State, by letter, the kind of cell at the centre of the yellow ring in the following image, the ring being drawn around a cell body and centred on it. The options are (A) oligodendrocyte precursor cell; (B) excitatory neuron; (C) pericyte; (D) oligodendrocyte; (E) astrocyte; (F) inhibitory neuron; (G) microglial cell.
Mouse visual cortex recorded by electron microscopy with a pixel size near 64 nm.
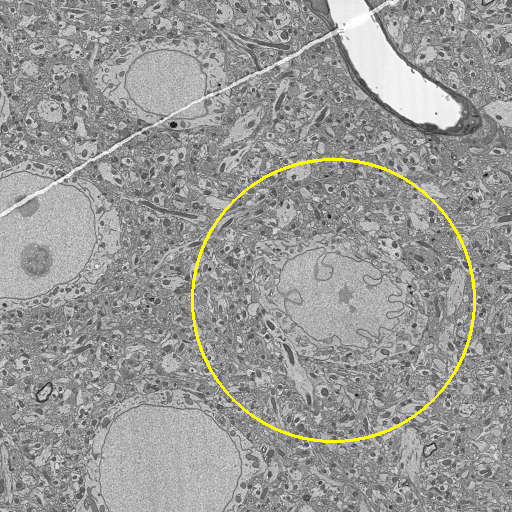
F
